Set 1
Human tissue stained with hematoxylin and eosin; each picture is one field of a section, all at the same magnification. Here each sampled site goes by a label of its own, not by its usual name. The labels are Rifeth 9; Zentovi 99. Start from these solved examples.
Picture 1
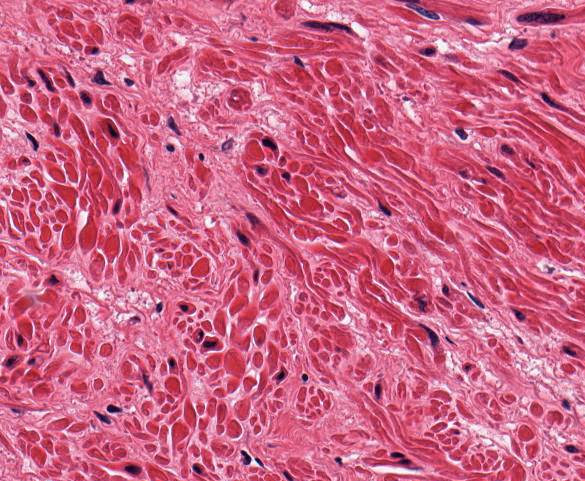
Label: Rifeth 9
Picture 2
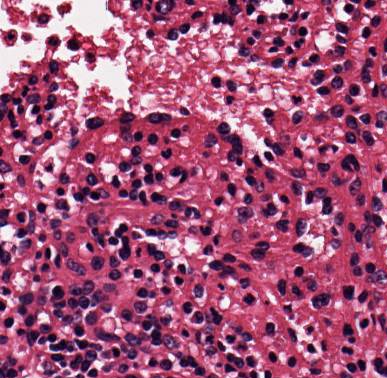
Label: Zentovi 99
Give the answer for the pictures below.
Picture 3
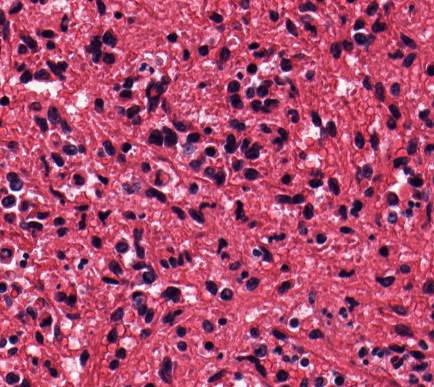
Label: Zentovi 99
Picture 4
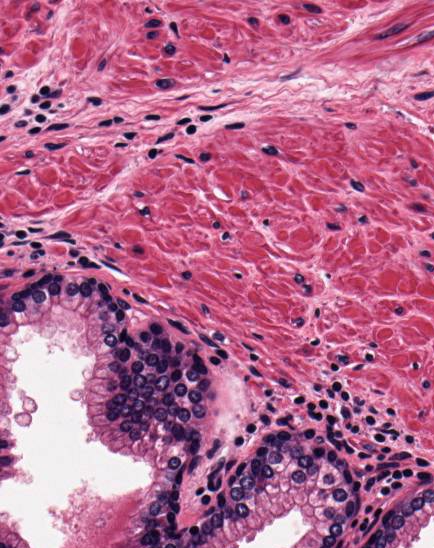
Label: Rifeth 9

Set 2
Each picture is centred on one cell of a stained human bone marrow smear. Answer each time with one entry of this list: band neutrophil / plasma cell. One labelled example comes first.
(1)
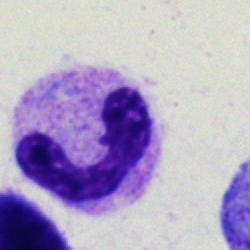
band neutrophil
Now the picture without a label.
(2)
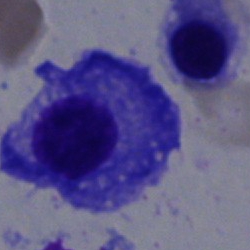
plasma cell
